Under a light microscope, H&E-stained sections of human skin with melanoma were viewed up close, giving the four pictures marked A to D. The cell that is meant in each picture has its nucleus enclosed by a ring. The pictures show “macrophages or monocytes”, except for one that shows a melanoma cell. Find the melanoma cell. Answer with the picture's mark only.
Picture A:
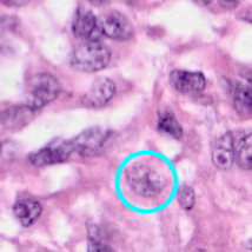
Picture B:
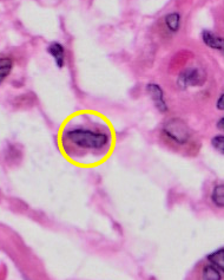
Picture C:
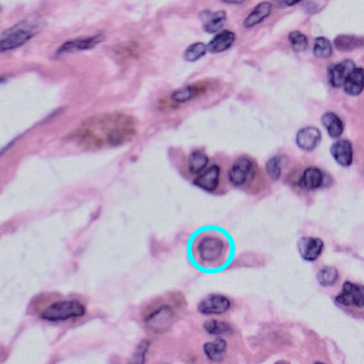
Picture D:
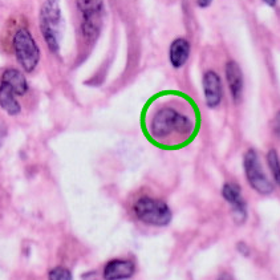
A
